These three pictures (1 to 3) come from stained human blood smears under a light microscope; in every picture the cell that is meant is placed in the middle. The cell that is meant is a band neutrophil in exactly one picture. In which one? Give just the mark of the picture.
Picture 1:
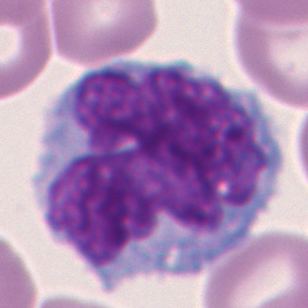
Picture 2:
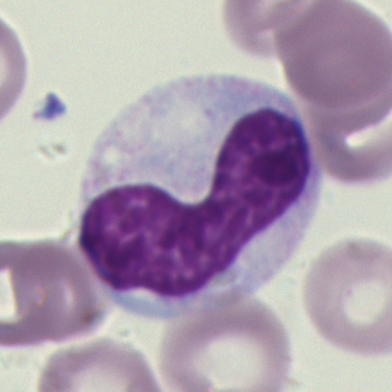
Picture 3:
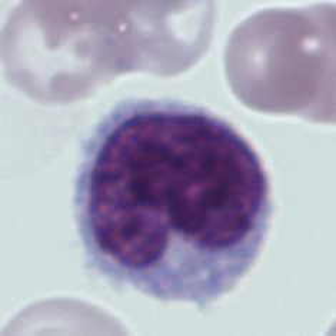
2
